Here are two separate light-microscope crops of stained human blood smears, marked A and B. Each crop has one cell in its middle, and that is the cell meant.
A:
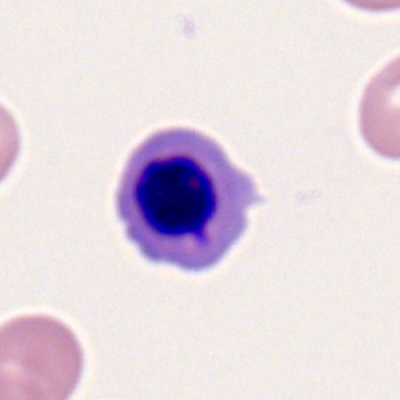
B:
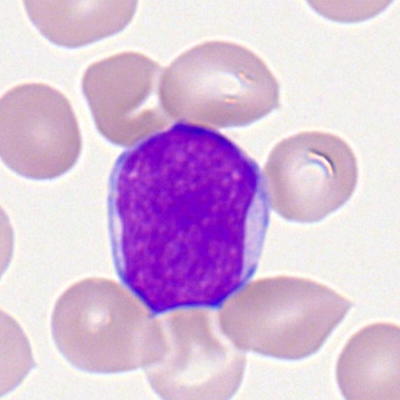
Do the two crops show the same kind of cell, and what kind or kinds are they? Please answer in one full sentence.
No, crop A displays an erythroblast, and crop B displays a myeloblast.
